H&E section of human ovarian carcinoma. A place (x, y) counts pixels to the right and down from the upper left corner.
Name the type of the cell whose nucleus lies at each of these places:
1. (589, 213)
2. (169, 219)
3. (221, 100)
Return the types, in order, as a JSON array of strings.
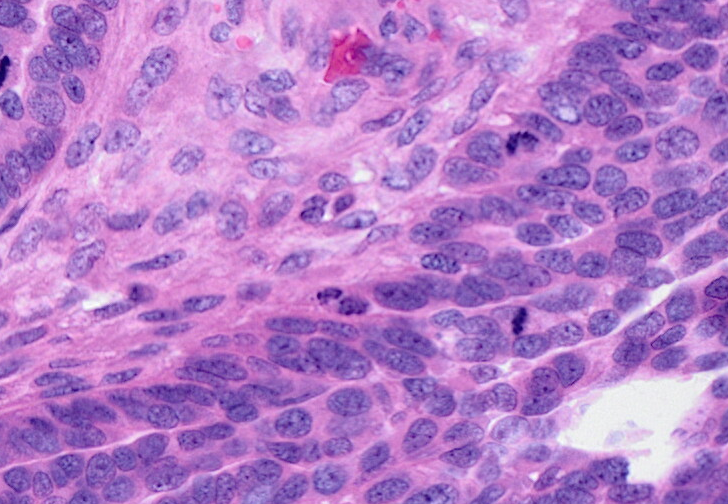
["carcinoma cell", "fibroblast", "fibroblast"]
